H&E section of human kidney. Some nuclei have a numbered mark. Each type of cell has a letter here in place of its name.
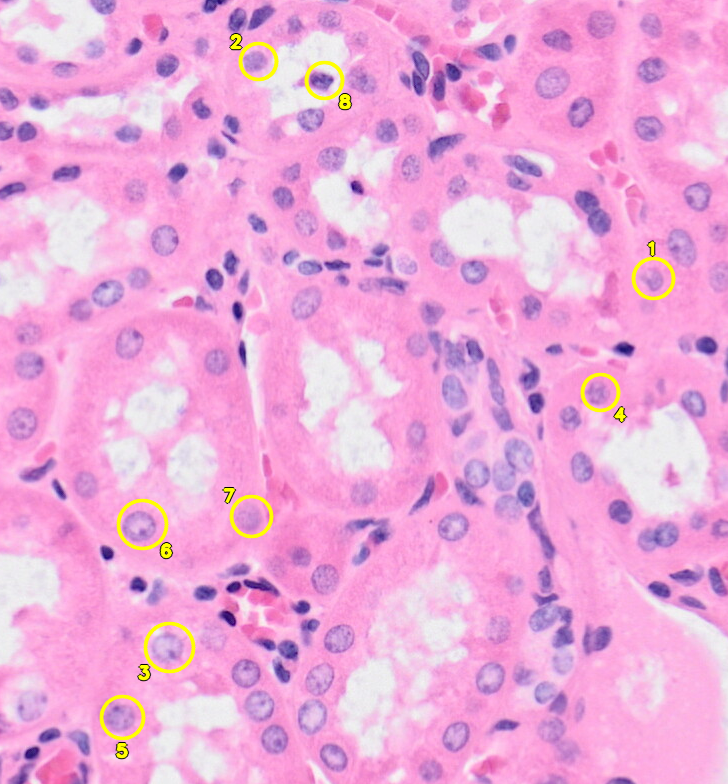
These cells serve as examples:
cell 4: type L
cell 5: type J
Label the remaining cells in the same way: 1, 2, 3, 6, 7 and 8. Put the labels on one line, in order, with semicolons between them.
type J; type L; type J; type J; type J; type L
